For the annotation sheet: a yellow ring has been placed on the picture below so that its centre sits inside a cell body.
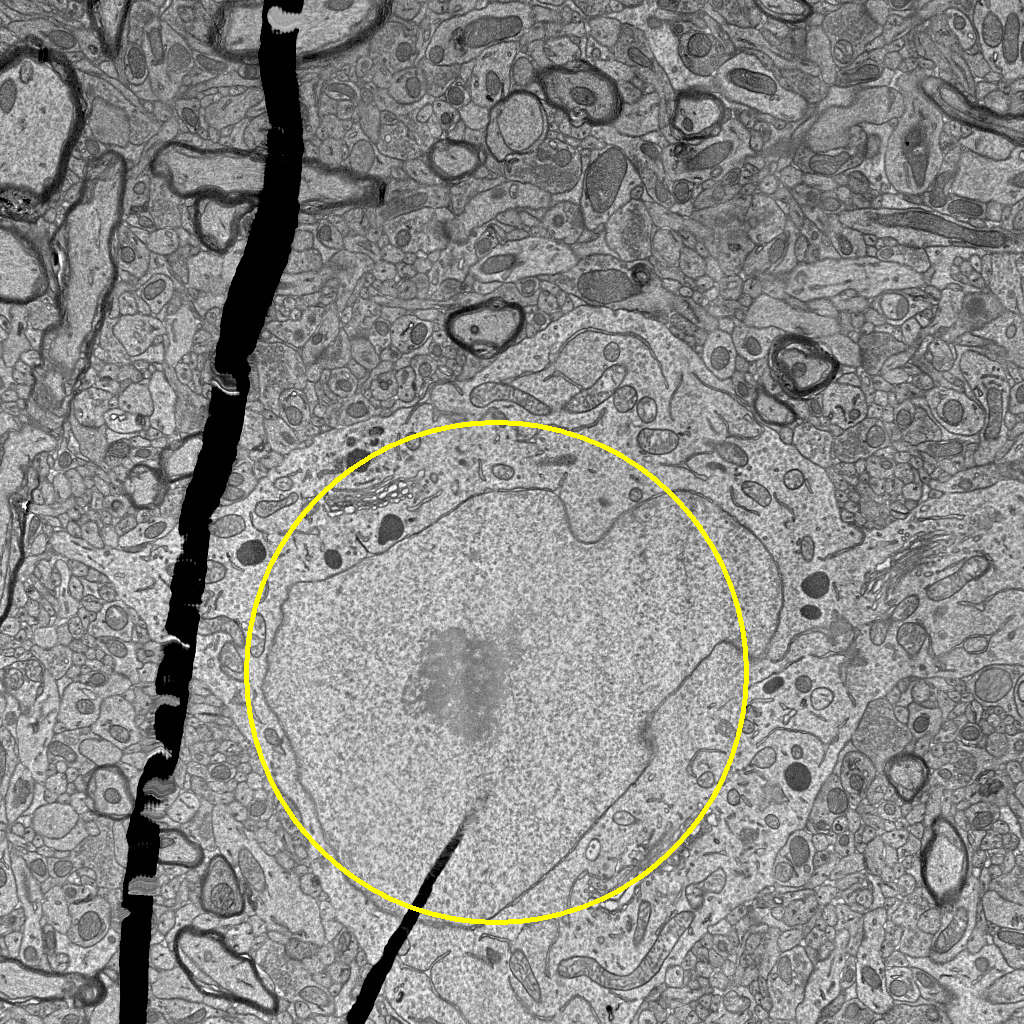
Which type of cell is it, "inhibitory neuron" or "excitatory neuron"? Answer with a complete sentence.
The cell at the ring's centre is an inhibitory neuron.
